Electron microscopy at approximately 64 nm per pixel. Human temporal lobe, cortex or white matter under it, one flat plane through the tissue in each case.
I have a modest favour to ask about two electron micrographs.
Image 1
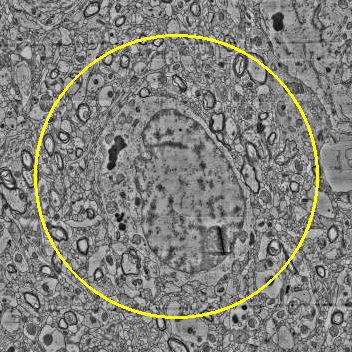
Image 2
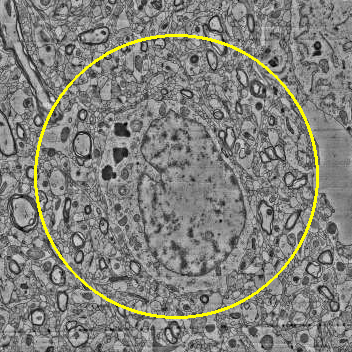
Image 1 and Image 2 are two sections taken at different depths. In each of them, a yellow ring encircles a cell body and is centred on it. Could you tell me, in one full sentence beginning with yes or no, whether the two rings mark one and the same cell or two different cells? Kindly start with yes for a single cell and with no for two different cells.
Yes, one and the same cell lies under both rings.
